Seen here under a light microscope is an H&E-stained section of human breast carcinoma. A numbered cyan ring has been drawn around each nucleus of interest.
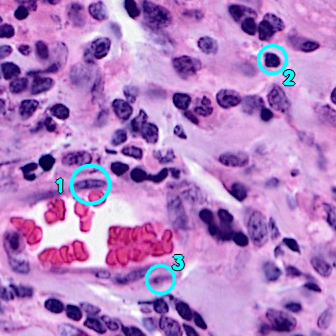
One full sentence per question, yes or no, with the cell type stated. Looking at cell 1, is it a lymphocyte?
No, the nucleus numbered 1 belongs to an endothelial cell, not a lymphocyte.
